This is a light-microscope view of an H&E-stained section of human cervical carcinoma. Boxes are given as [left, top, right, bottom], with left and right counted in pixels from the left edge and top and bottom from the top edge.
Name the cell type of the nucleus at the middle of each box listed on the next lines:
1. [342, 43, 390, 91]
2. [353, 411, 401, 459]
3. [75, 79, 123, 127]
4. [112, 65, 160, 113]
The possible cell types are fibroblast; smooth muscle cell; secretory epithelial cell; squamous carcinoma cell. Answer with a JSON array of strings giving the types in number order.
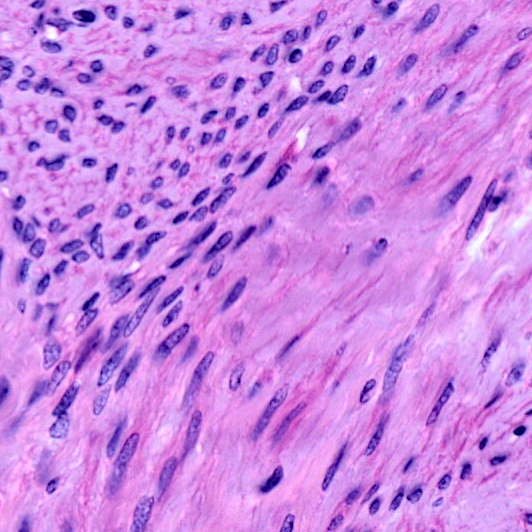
["fibroblast", "smooth muscle cell", "smooth muscle cell", "smooth muscle cell"]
